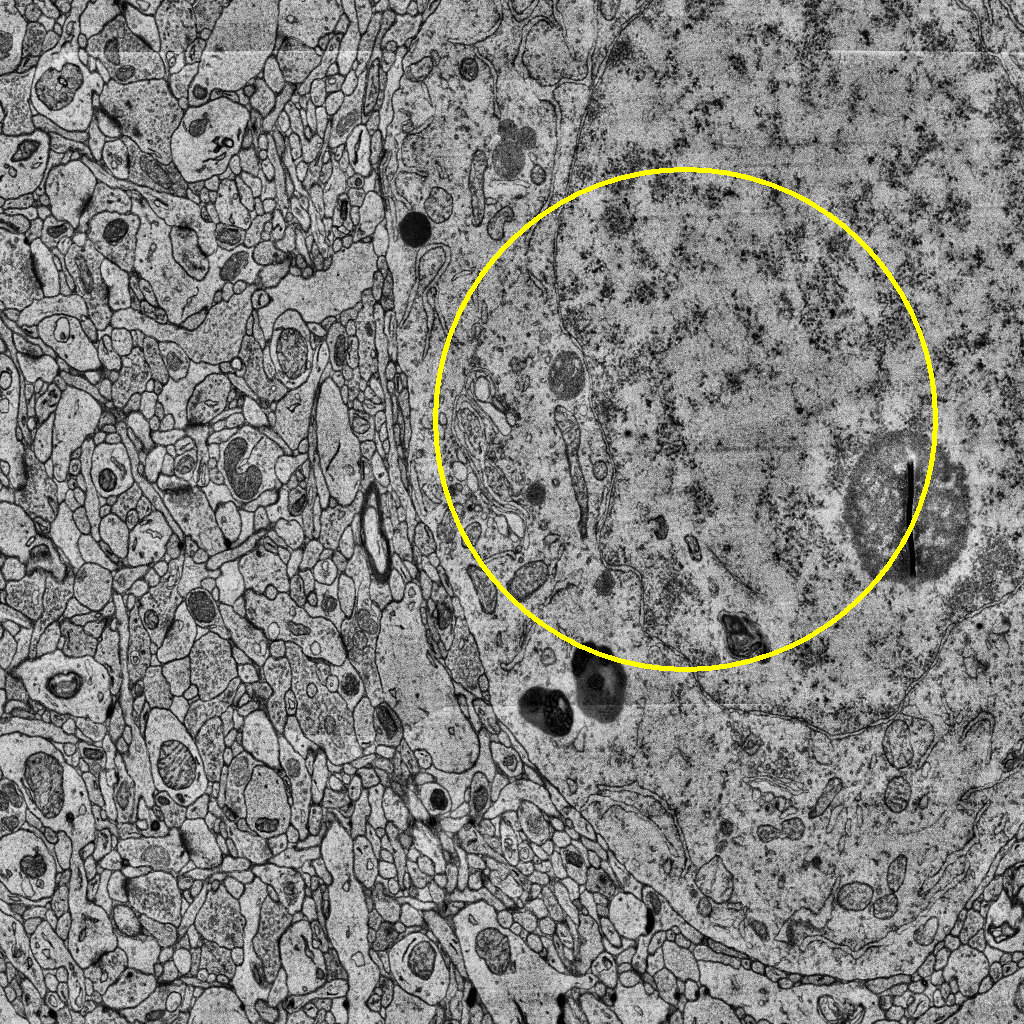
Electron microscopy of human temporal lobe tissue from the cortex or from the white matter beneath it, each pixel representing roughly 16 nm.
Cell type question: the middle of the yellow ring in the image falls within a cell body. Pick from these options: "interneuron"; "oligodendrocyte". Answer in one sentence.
The cell body at the center of the ring belongs to an interneuron.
